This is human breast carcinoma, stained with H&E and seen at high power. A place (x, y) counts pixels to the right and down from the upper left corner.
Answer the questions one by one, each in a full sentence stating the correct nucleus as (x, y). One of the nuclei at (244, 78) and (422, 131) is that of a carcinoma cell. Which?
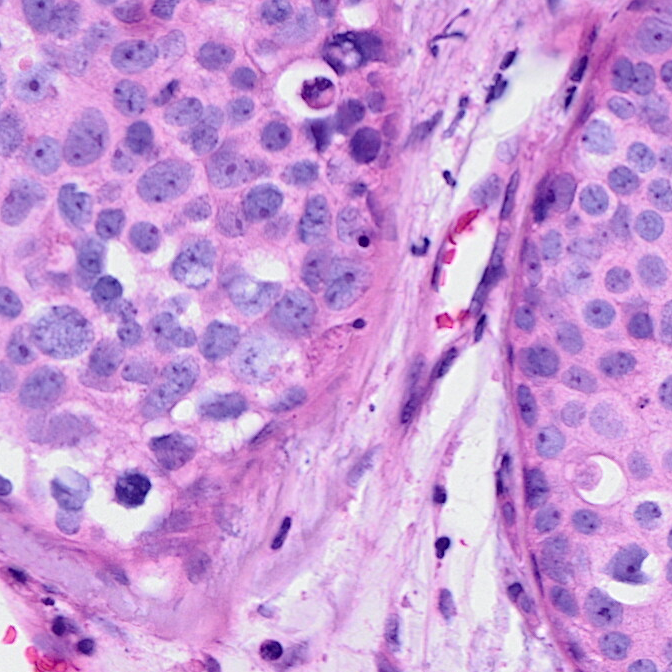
Identify the nucleus at (244, 78) as the one belonging to a carcinoma cell.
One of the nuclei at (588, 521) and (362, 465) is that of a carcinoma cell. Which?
The member of the pair belonging to a carcinoma cell is the nucleus at (588, 521).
